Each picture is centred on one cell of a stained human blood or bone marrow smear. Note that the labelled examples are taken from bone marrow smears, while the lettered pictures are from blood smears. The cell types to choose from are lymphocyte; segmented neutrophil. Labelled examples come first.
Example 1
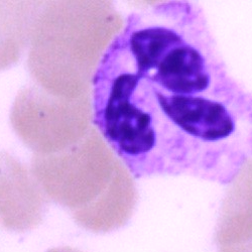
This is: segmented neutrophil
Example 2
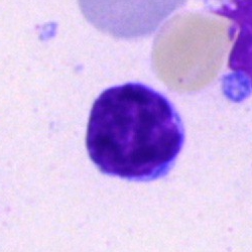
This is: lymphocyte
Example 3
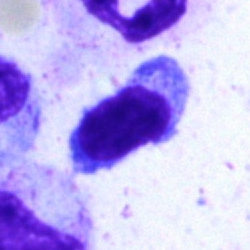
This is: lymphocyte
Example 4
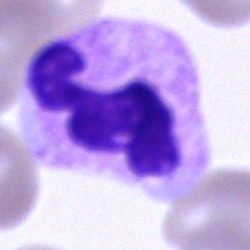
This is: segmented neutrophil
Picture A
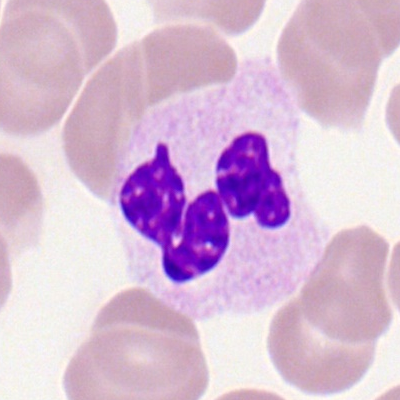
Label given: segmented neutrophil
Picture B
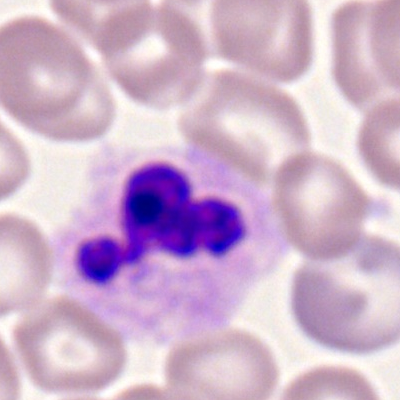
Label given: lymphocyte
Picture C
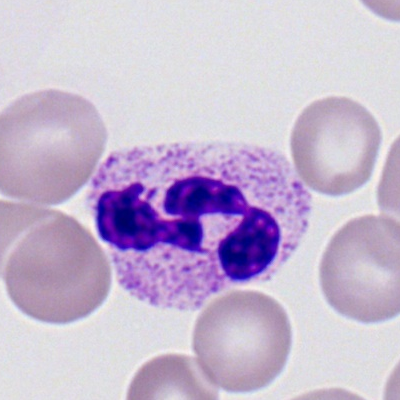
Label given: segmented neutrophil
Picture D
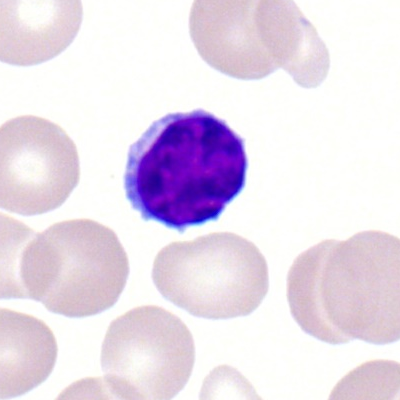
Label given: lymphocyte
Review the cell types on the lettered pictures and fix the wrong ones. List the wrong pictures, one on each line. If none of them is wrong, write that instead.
Wrong: B (lymphocyte); correct: segmented neutrophil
